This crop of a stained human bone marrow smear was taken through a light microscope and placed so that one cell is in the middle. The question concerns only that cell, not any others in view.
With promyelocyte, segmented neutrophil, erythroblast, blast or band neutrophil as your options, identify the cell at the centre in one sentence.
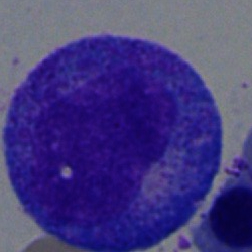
The cell centred in this crop is categorized as a promyelocyte.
